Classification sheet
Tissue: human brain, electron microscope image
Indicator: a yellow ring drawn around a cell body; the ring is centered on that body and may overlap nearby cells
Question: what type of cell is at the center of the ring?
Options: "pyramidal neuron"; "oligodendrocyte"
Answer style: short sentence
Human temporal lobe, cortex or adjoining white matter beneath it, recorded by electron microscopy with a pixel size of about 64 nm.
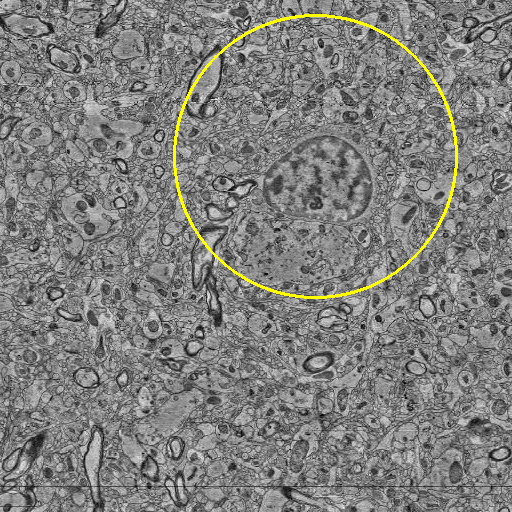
At the ring's center is an oligodendrocyte.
